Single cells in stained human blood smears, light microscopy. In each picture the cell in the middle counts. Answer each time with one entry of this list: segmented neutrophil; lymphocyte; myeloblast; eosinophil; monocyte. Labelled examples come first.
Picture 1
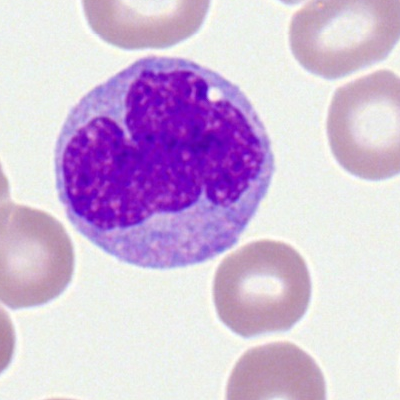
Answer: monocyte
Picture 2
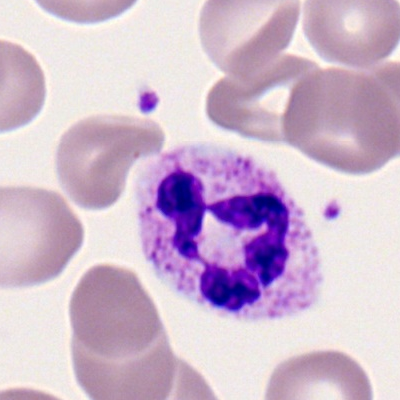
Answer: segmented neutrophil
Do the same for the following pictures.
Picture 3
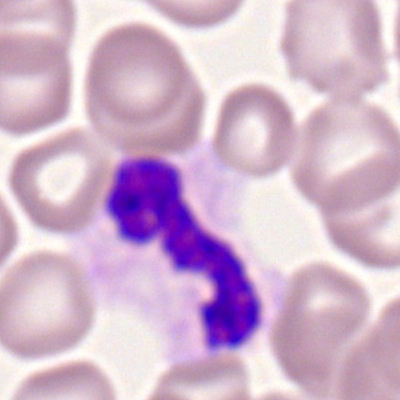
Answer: segmented neutrophil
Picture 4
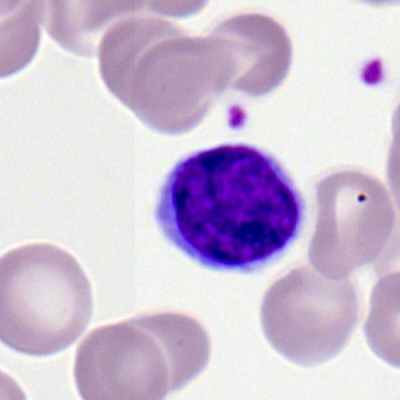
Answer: lymphocyte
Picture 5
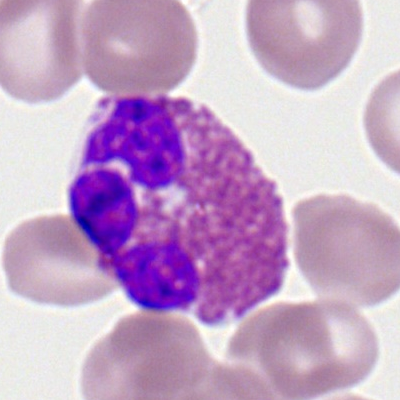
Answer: eosinophil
